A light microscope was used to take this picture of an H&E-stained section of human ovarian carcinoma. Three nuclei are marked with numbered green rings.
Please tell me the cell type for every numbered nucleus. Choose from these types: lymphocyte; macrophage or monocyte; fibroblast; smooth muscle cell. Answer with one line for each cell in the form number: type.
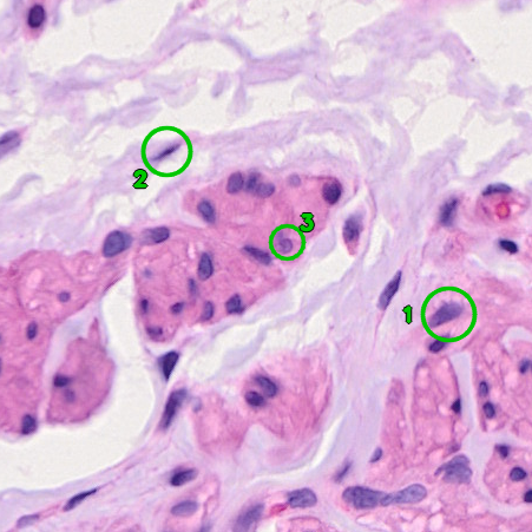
1: smooth muscle cell
2: fibroblast
3: smooth muscle cell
